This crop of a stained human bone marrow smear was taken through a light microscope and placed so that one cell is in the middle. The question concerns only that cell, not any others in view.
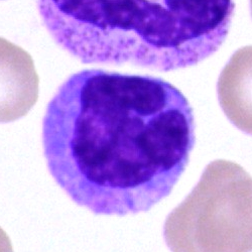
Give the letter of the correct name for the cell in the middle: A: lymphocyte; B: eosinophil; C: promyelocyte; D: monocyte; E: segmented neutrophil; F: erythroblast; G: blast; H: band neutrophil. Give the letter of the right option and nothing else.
D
